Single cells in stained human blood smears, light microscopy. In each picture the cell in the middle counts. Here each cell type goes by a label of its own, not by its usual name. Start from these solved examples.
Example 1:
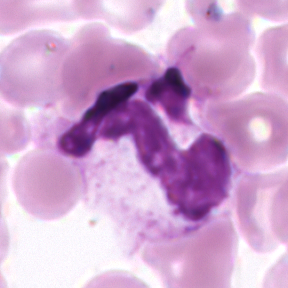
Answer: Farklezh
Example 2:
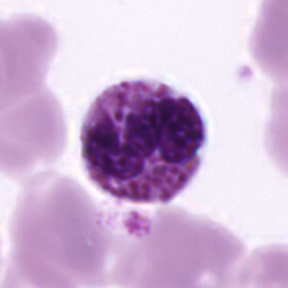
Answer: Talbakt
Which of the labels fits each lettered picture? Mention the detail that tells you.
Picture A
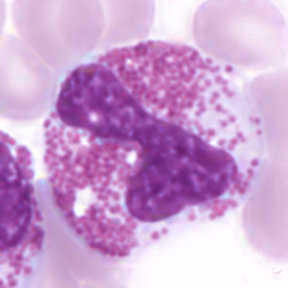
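Answer: Talbakt. The granules are coarse and of fairly even size.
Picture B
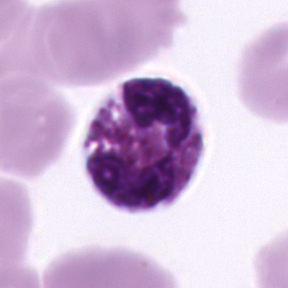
Answer: Talbakt. Coarse dark purple granules are scattered across the cell, including over the nucleus.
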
